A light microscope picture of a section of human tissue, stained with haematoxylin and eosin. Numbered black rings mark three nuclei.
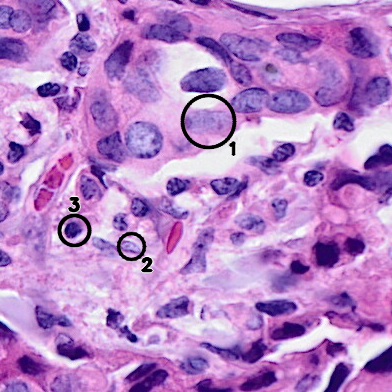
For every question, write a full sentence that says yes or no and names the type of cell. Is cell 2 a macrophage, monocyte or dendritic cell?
Yes, the nucleus numbered 2 belongs to a macrophage, monocyte or dendritic cell.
